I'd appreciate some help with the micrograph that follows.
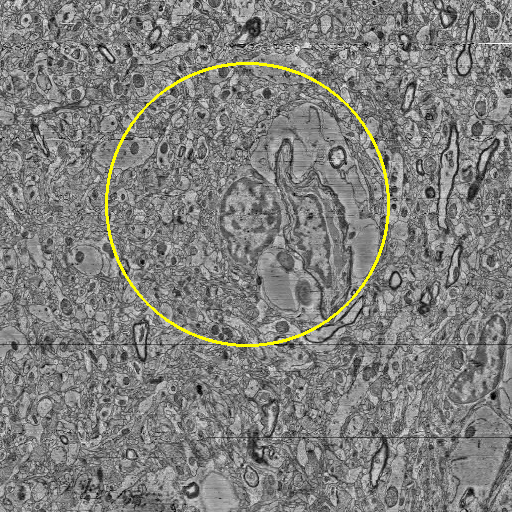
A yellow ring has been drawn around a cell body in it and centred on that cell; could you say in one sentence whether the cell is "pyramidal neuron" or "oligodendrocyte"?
It is an oligodendrocyte at the centre of the ring.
